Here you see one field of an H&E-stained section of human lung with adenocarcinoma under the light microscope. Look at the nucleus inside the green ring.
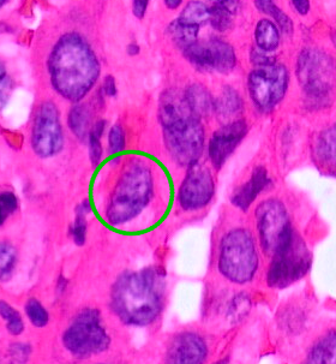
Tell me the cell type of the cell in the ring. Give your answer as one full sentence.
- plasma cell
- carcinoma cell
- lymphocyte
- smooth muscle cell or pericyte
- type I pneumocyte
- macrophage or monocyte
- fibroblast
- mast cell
Within this tissue, the cell in the ring is a carcinoma cell.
